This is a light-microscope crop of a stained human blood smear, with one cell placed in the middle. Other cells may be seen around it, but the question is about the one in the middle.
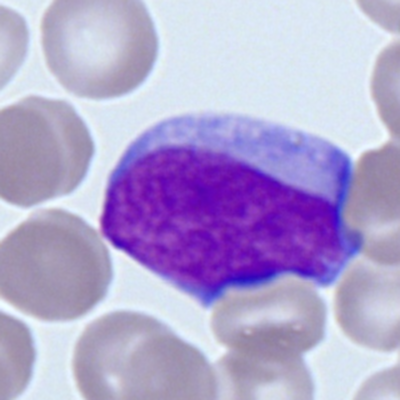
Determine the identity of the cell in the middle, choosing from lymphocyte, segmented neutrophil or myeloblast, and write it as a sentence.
The cell featured at the centre of this crop is a myeloblast.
